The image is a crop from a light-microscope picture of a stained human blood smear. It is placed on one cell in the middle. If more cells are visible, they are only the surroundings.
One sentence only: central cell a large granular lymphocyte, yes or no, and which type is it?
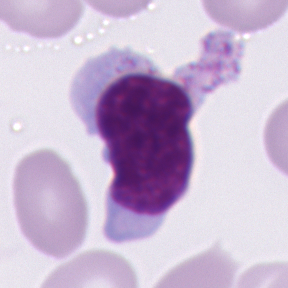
Yes, the middle cell of the field is a large granular lymphocyte.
